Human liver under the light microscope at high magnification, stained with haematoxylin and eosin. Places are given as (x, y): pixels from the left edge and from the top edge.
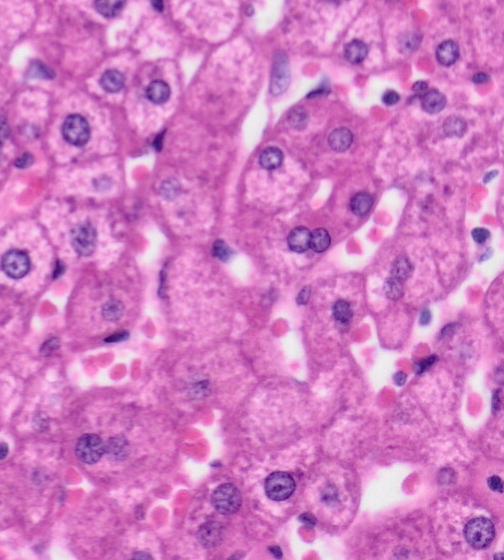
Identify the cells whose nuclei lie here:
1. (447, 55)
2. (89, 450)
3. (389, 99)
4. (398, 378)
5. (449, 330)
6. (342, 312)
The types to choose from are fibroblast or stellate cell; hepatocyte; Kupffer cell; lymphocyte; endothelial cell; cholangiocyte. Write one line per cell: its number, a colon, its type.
1: hepatocyte
2: hepatocyte
3: lymphocyte
4: lymphocyte
5: Kupffer cell
6: hepatocyte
